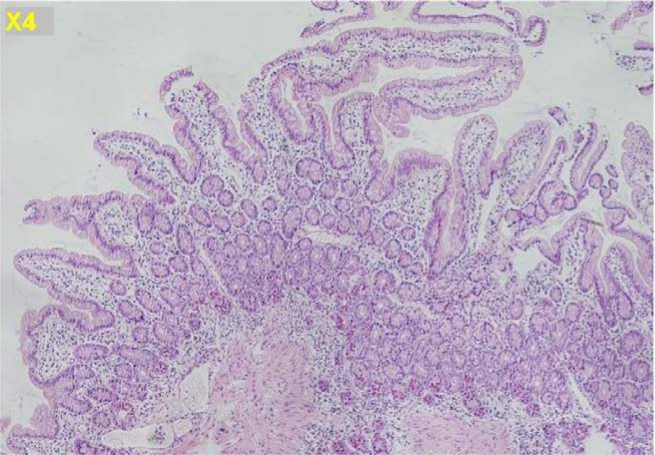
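Low-power view of duodenal mucosa showing a row of tall, slender villi rising above a band of closely packed round crypts. At the bottom, deeper pink glands and a strip of smooth muscle lie beneath the crypts.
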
